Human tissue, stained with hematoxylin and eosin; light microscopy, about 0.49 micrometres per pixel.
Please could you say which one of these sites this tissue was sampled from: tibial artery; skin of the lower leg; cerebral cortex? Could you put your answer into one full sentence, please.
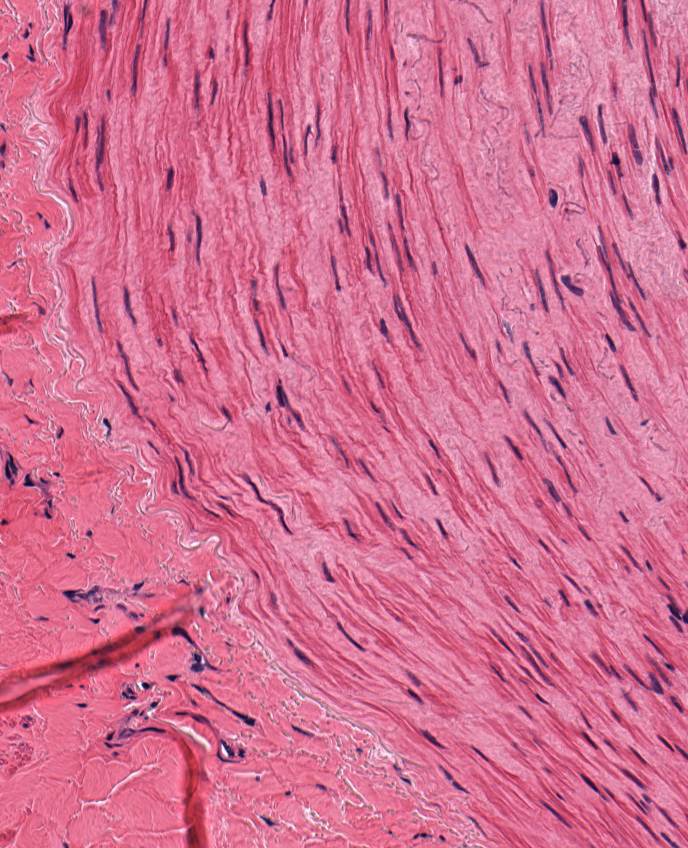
From the tibial artery came the tissue in this section.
